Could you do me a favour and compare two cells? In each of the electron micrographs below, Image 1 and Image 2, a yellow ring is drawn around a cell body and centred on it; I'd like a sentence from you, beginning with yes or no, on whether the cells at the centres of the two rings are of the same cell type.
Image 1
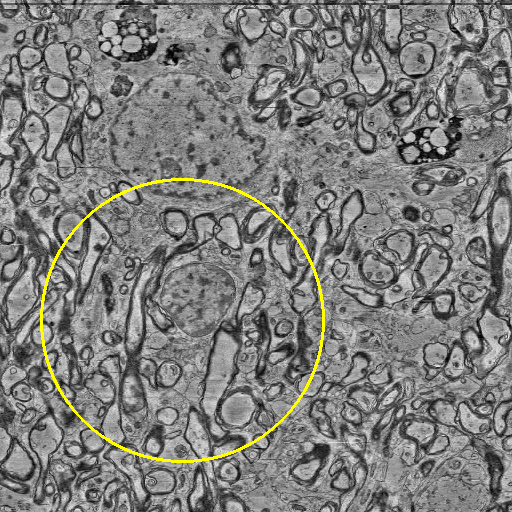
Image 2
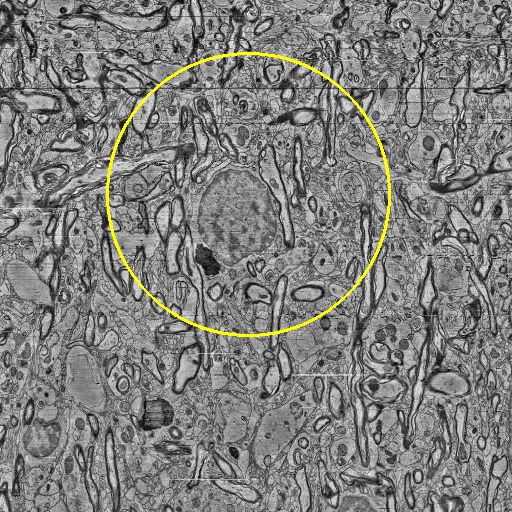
No, the two cells are of two cell types.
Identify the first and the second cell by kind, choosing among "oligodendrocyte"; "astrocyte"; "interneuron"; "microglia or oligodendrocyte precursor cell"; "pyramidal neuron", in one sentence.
The one in the first picture is a microglial cell or oligodendrocyte precursor cell, while the one in the second is an oligodendrocyte.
